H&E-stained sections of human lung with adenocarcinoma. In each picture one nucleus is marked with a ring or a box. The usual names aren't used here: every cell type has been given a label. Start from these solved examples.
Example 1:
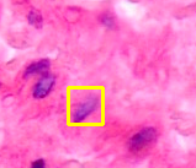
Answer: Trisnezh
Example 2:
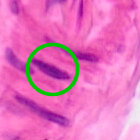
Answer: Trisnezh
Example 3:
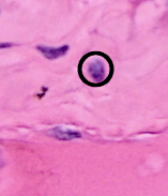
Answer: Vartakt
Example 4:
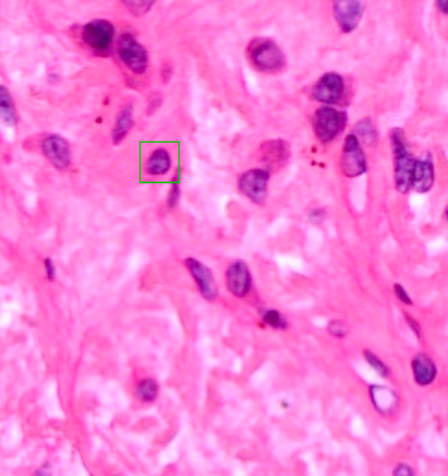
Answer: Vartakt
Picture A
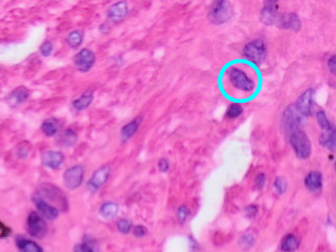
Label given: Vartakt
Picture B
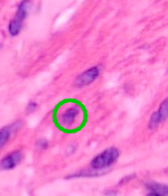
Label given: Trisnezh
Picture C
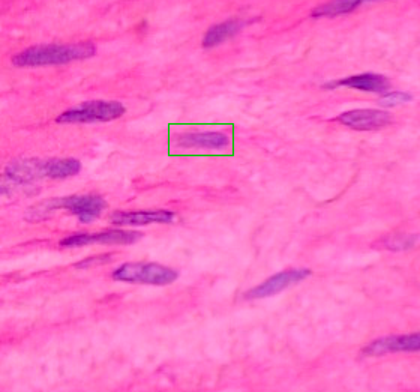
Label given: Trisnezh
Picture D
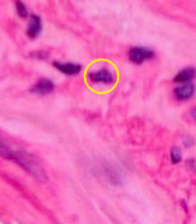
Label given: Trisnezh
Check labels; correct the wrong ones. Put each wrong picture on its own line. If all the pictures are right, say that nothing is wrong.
No label is wrong.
